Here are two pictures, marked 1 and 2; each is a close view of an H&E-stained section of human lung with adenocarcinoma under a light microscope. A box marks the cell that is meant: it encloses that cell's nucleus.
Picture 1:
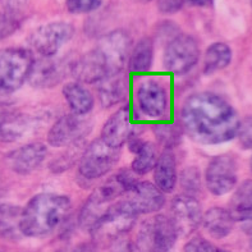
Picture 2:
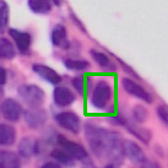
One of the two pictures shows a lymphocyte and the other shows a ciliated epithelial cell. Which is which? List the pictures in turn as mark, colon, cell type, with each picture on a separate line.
1: ciliated epithelial cell
2: lymphocyte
